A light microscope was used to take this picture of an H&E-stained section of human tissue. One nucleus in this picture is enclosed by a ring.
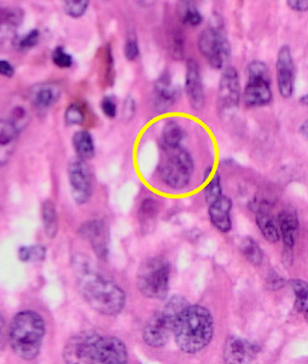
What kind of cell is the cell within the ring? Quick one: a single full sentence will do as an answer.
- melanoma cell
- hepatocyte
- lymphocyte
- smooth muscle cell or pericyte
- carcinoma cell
On this particular slide, the cell within the ring is a melanoma cell.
